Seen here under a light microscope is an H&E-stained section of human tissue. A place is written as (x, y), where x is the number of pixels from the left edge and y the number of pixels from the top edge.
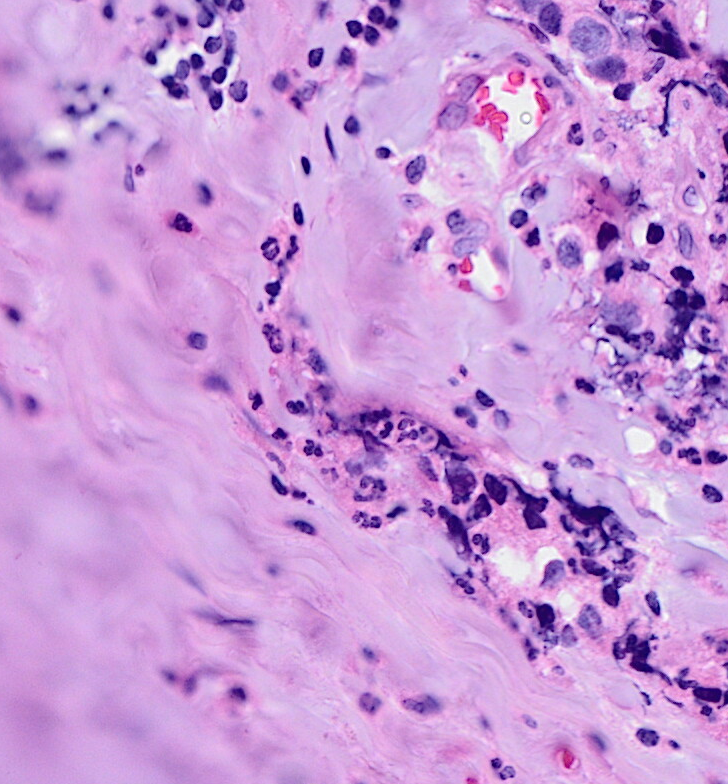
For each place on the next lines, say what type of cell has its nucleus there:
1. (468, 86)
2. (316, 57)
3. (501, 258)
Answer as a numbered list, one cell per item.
1. endothelial cell
2. lymphocyte
3. endothelial cell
